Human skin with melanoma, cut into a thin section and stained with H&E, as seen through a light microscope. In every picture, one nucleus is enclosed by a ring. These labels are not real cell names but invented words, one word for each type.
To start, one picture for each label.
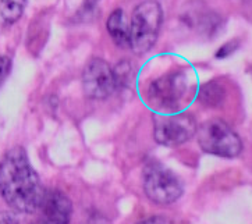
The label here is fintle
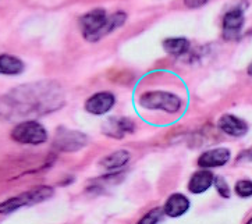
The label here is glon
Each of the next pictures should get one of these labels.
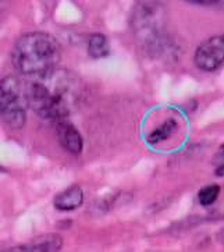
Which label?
glon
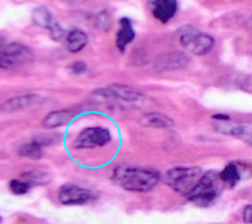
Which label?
glon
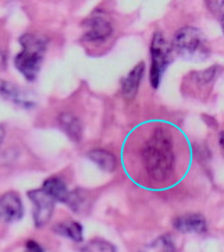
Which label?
fintle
